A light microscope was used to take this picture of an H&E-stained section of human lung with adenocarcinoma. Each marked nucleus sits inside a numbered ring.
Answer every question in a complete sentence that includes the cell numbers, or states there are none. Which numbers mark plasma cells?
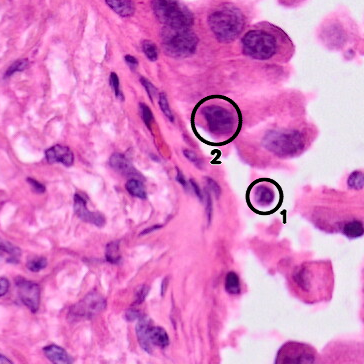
The cells whose nuclei carry numbers are not plasma cells.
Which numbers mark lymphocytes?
Cell 1 is a lymphocyte, whereas each of the other numbered cells is not.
